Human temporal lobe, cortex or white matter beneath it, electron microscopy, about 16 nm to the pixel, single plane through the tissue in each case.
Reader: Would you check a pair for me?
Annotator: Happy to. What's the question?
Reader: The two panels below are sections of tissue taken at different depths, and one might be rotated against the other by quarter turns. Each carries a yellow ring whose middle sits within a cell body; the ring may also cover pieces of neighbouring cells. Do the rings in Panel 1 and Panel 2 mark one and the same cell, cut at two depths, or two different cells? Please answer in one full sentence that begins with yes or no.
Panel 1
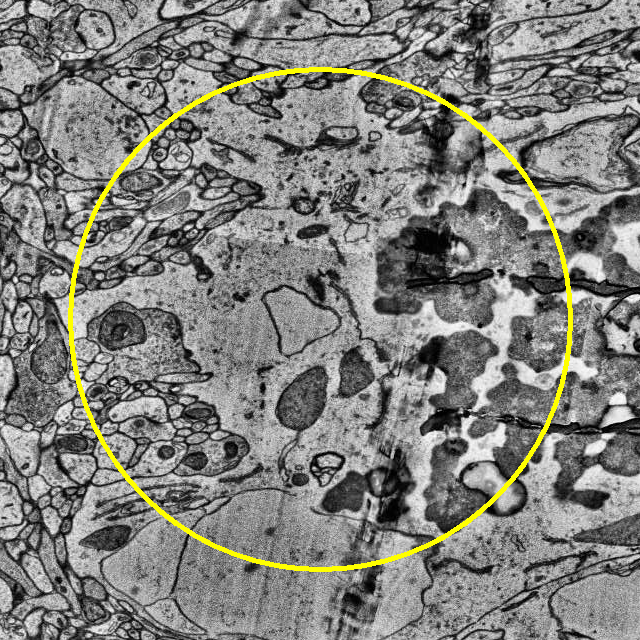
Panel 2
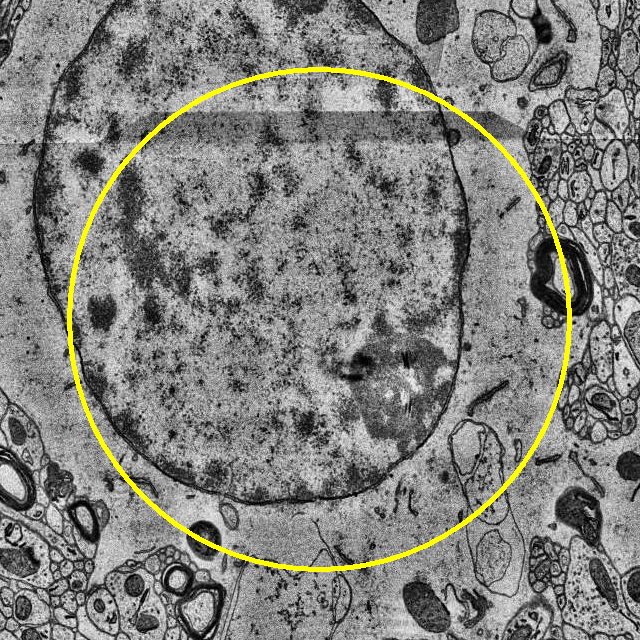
No, the two rings in this image mark separate cells.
